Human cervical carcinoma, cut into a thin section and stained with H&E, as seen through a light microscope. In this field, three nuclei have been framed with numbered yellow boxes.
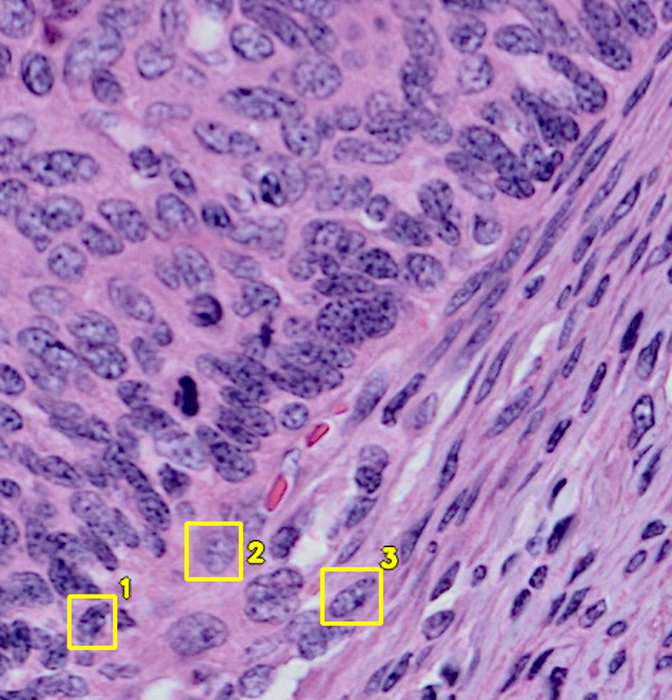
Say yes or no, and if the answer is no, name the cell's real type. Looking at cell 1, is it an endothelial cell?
No, it is a lymphocyte.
